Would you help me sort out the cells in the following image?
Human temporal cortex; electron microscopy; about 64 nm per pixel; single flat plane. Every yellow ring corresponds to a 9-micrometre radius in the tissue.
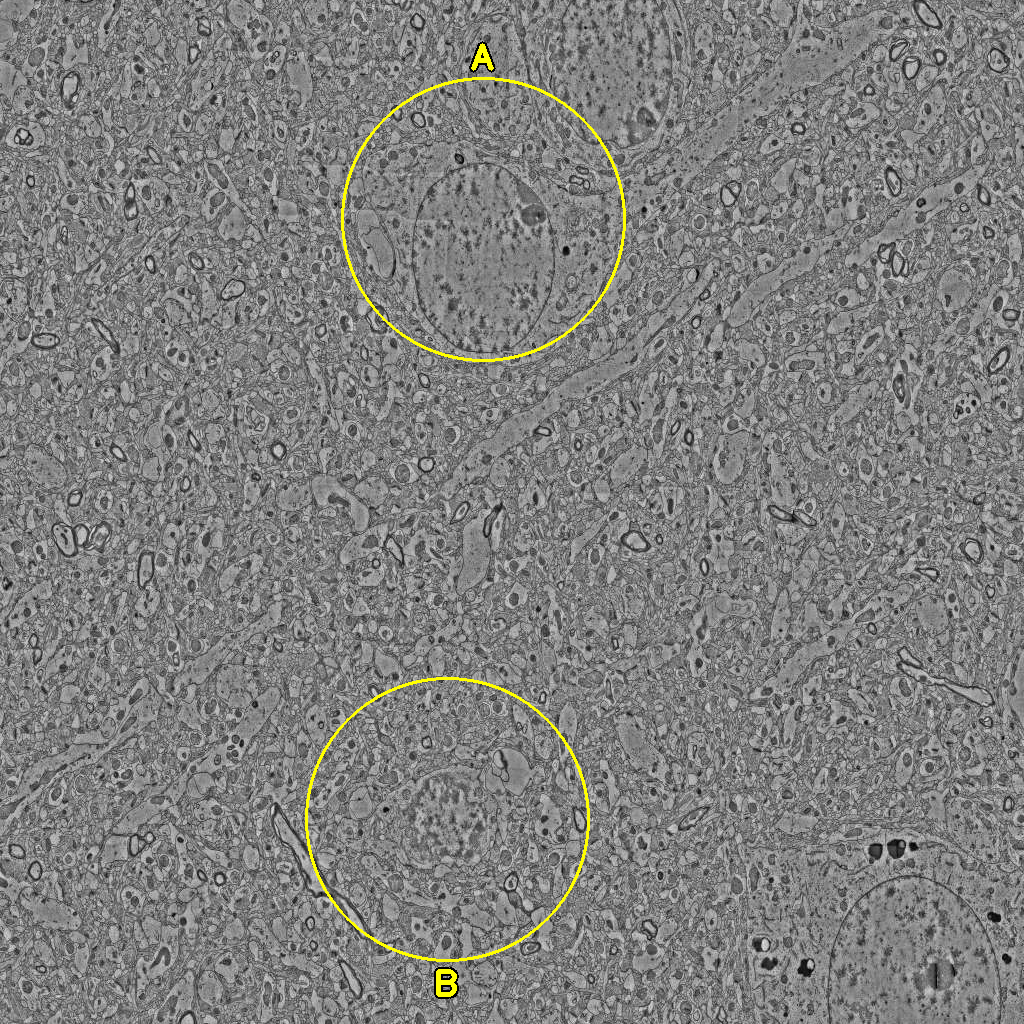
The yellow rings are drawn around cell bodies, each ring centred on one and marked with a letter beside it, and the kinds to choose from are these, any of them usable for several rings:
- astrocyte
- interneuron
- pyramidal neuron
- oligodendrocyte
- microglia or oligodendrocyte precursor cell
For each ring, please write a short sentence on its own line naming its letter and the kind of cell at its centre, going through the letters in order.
Ring A is centred on the cell body of a pyramidal neuron.
Ring B is centred on the cell body of an interneuron.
